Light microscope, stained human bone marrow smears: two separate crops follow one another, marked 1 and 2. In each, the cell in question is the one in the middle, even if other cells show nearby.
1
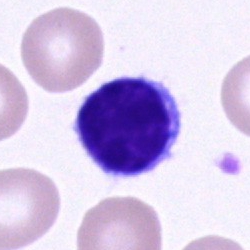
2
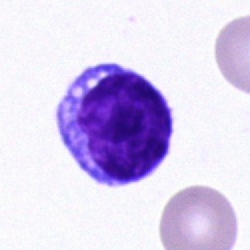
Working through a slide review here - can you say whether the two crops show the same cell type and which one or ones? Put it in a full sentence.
Yes, in both crops the centred cells are lymphocytes.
